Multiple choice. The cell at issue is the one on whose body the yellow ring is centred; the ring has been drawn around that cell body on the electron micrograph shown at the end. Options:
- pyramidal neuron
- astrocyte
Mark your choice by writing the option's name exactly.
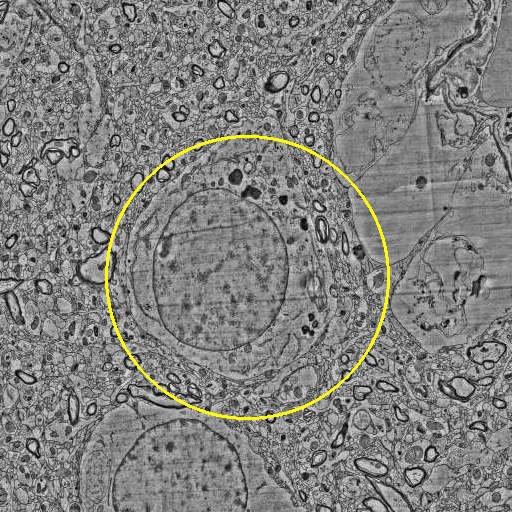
pyramidal neuron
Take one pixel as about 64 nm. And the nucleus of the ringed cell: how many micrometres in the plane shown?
In this plane, about 11 micrometres in length and 9 in width.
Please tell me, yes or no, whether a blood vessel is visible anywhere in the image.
Yes, the image shows a blood vessel.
